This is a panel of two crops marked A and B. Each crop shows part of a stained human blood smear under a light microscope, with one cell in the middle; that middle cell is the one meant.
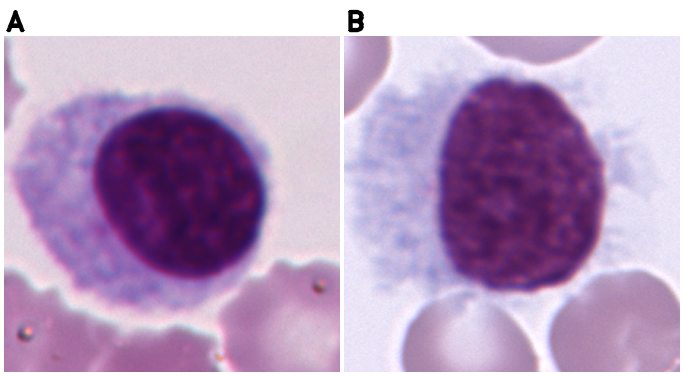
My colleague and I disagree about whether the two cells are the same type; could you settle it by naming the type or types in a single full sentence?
Yes, hairy cells are the cells in the middle of both crops.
